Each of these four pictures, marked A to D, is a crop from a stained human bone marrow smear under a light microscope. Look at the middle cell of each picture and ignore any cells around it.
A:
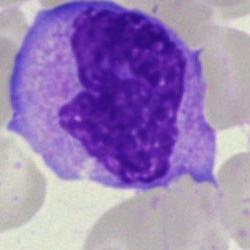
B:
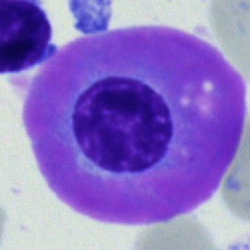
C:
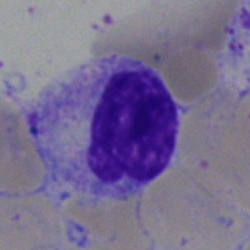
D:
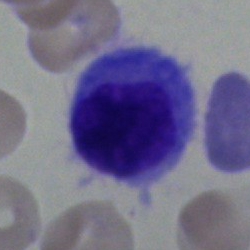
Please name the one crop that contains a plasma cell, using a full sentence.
The one that shows a plasma cell is crop B.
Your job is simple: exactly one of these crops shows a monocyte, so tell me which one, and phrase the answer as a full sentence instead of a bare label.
Crop A is the crop containing a monocyte.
